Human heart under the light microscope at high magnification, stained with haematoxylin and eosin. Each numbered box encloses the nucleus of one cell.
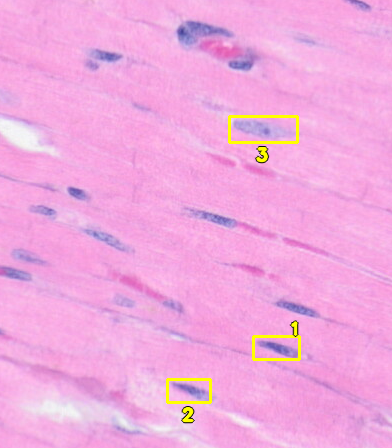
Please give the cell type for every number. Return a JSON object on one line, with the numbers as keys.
{"1": "endothelial cell", "2": "endothelial cell", "3": "cardiomyocyte"}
